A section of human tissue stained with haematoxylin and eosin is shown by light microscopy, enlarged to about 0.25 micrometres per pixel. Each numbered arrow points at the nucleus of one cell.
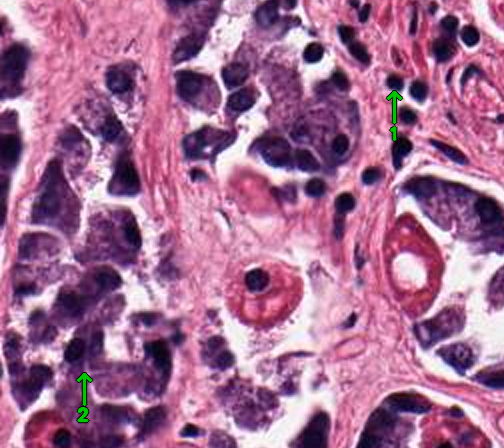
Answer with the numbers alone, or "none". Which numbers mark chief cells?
2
